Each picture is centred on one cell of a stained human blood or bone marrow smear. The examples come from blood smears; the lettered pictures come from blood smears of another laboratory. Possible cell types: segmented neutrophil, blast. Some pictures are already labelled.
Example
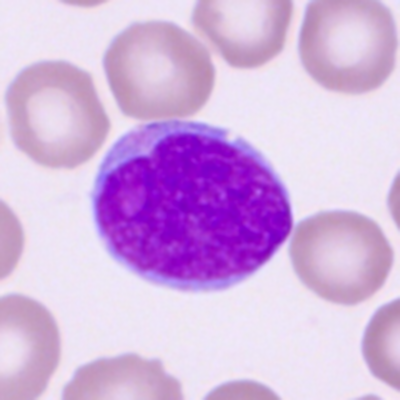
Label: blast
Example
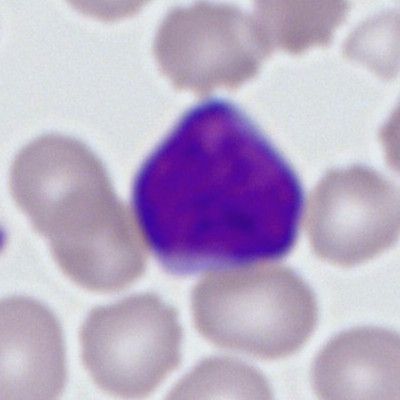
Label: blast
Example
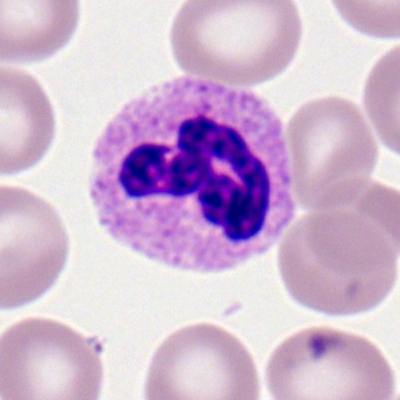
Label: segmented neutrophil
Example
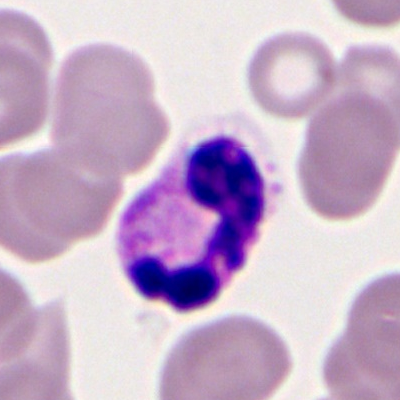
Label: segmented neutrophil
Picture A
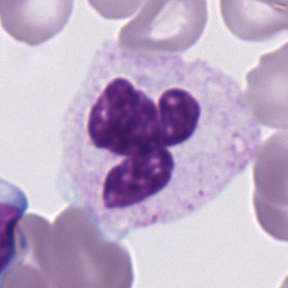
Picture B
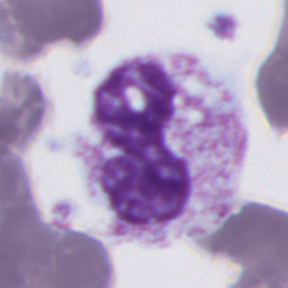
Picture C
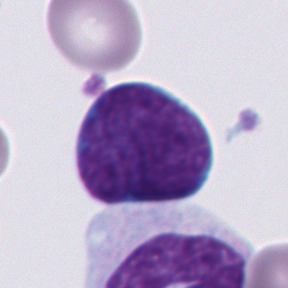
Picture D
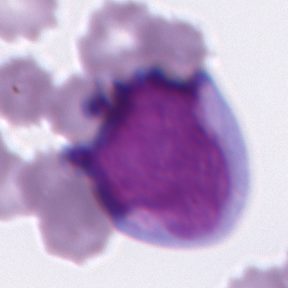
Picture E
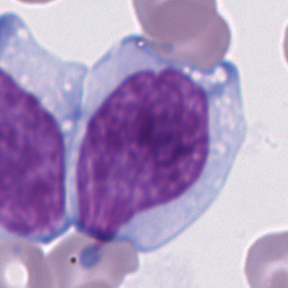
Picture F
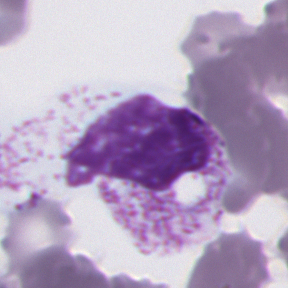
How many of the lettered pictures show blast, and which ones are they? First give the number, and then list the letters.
3: C, D, E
